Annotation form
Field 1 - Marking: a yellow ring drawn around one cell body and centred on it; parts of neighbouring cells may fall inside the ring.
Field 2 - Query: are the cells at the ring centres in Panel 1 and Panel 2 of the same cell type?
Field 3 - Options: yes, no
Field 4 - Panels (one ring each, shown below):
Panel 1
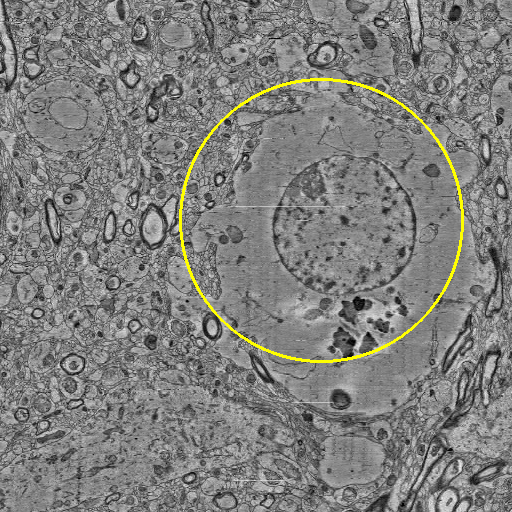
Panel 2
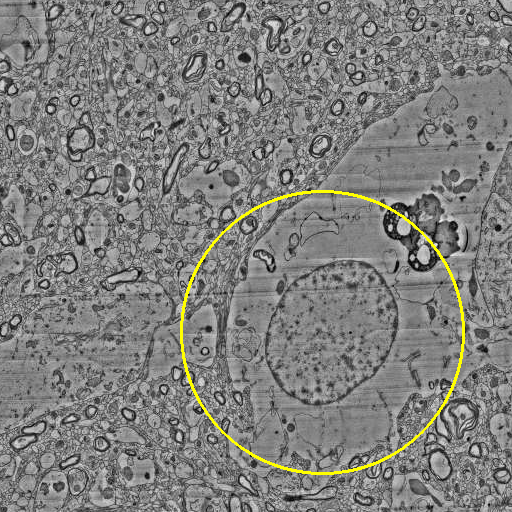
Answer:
yes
